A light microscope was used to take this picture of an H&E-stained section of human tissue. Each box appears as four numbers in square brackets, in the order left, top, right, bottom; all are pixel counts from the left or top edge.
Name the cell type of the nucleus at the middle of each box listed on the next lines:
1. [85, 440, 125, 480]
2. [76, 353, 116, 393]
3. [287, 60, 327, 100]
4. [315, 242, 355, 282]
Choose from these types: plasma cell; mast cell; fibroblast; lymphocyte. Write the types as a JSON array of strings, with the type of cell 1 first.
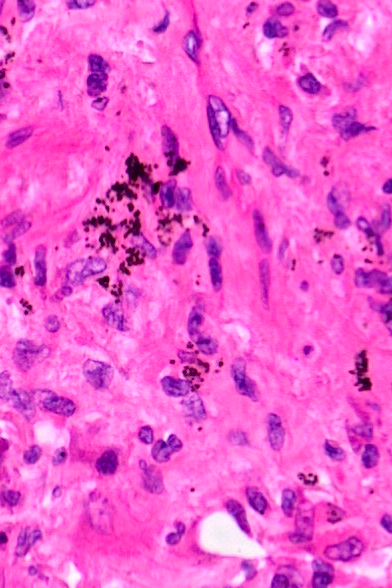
["plasma cell", "fibroblast", "plasma cell", "mast cell"]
